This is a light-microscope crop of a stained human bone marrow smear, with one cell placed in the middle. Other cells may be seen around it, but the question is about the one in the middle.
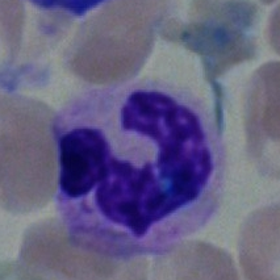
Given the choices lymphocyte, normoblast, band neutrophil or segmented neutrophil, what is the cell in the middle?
segmented neutrophil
